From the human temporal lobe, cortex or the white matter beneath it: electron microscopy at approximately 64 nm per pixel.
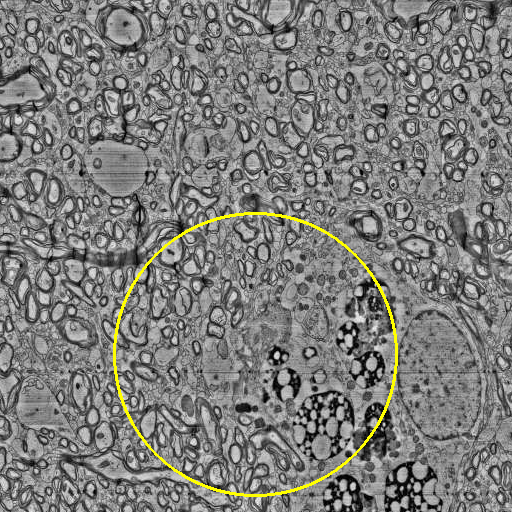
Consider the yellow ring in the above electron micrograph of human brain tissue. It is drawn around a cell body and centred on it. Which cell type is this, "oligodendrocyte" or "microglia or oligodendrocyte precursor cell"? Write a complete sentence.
The cell in question is an oligodendrocyte.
